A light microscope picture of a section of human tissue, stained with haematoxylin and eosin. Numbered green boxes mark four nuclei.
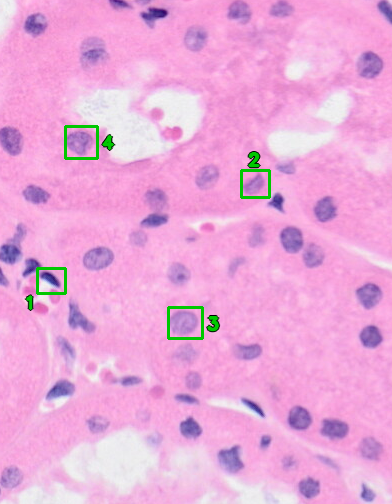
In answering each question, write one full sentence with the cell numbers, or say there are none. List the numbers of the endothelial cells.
The one cell that is an endothelial cell is cell 1, and no other.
